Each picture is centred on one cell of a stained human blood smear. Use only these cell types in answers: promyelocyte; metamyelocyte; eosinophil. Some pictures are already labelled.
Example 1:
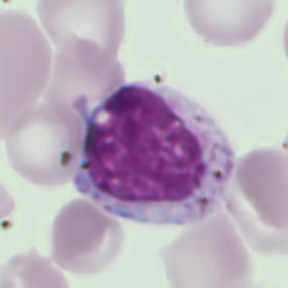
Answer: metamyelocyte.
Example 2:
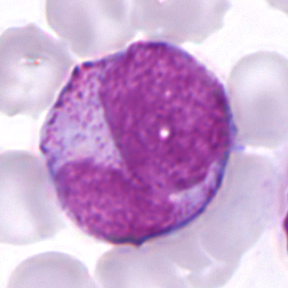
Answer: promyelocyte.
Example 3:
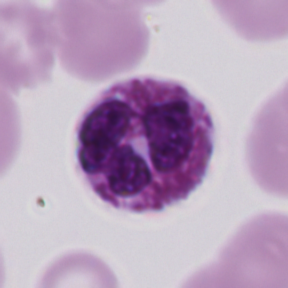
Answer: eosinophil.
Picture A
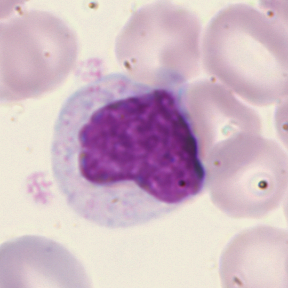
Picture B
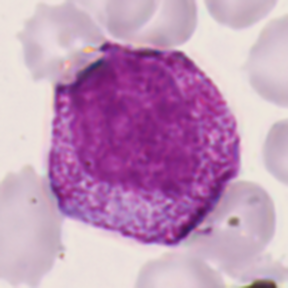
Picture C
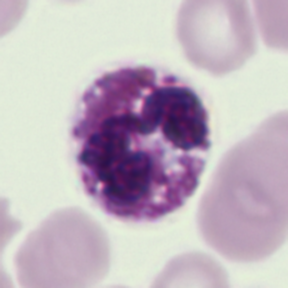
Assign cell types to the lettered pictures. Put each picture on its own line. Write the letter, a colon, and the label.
A: metamyelocyte.
B: promyelocyte.
C: eosinophil.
